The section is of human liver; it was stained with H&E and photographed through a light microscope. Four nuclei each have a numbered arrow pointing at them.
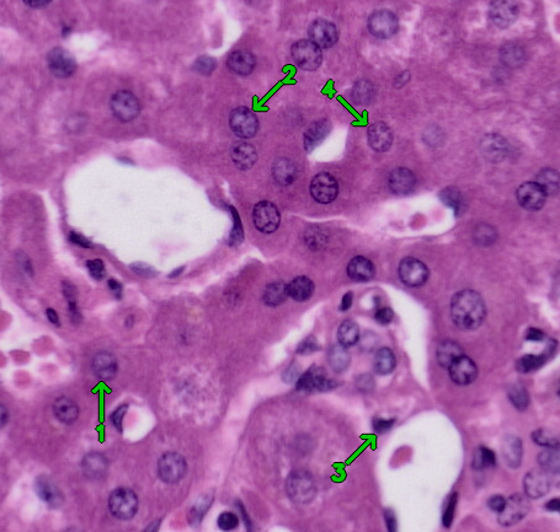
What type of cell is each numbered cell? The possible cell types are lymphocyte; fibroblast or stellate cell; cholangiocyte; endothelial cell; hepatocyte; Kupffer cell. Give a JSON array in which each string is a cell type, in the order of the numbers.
["hepatocyte", "hepatocyte", "fibroblast or stellate cell", "hepatocyte"]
